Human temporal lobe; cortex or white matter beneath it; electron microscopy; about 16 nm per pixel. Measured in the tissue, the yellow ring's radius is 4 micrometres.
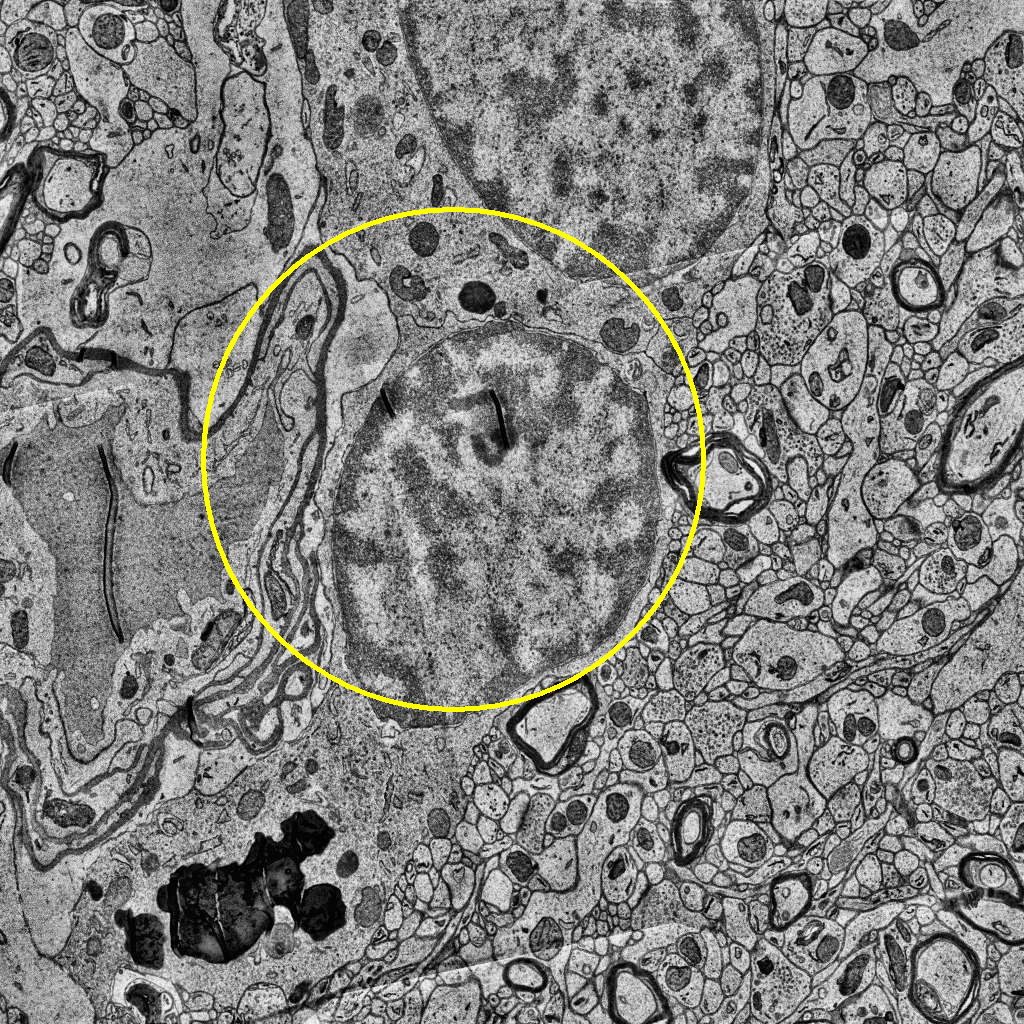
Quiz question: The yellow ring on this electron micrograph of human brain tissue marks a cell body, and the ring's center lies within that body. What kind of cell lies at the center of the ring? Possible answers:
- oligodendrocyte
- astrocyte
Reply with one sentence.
The ring's center lies on an oligodendrocyte.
